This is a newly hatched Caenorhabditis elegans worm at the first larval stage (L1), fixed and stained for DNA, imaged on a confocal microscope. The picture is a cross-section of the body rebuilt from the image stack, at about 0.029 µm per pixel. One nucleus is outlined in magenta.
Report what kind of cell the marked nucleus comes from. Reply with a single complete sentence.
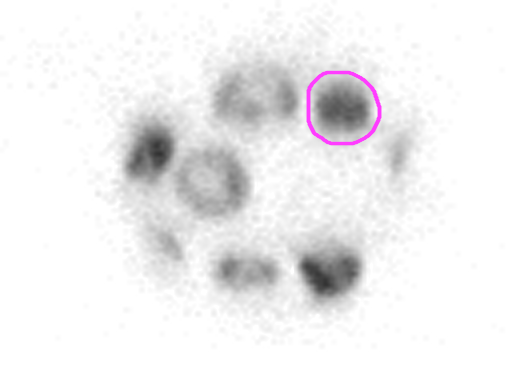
The marked cell is a P cell (ventral epidermal blast cell).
